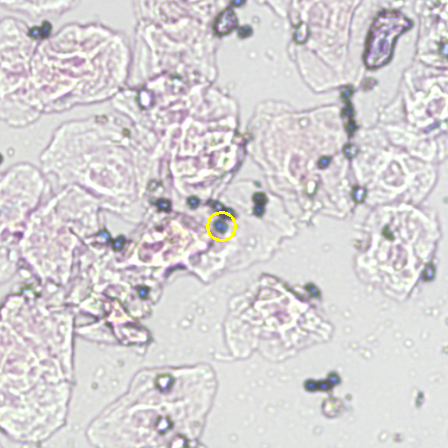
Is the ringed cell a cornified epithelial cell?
No, it is a leukocyte.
